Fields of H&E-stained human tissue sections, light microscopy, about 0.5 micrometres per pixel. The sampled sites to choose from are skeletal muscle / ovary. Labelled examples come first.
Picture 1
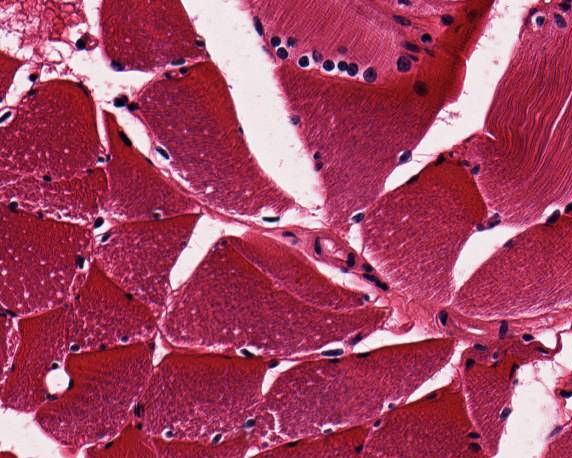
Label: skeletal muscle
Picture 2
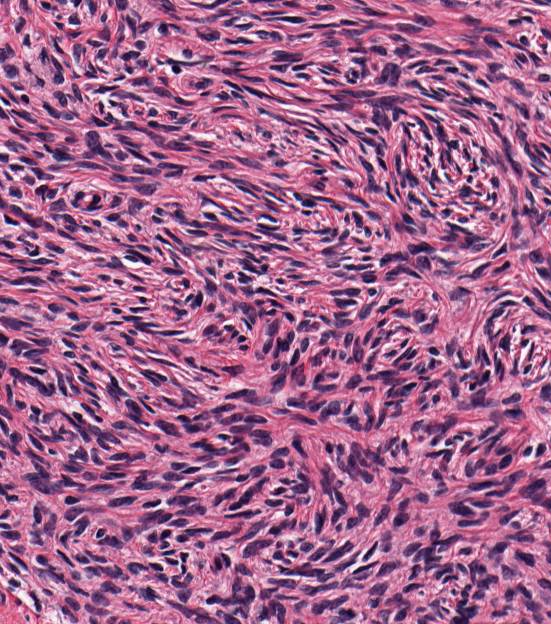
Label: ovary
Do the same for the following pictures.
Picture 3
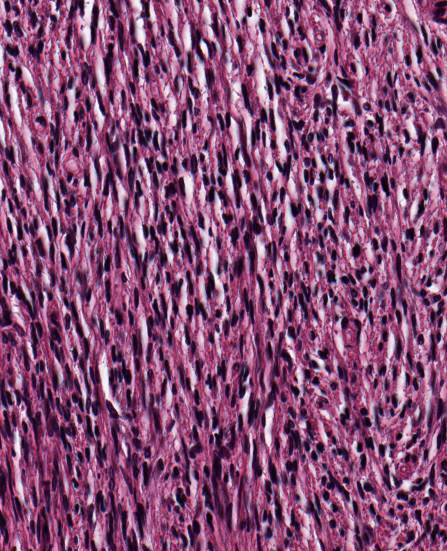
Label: ovary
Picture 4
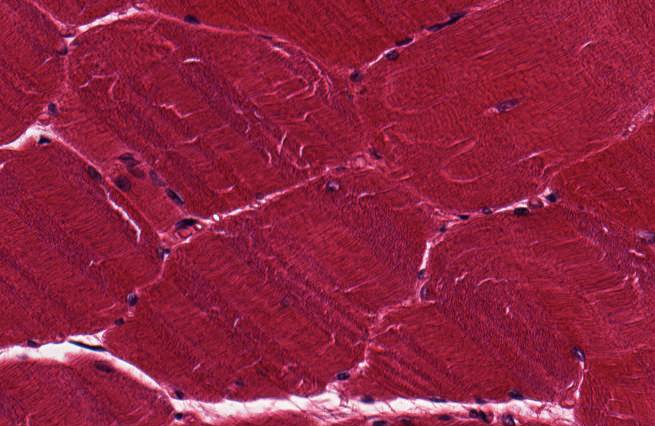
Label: skeletal muscle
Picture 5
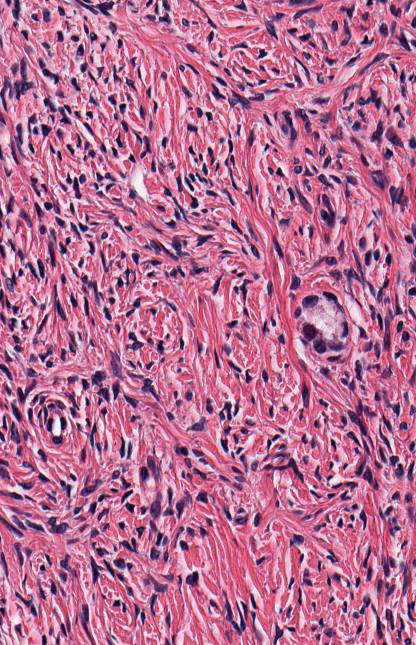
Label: ovary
